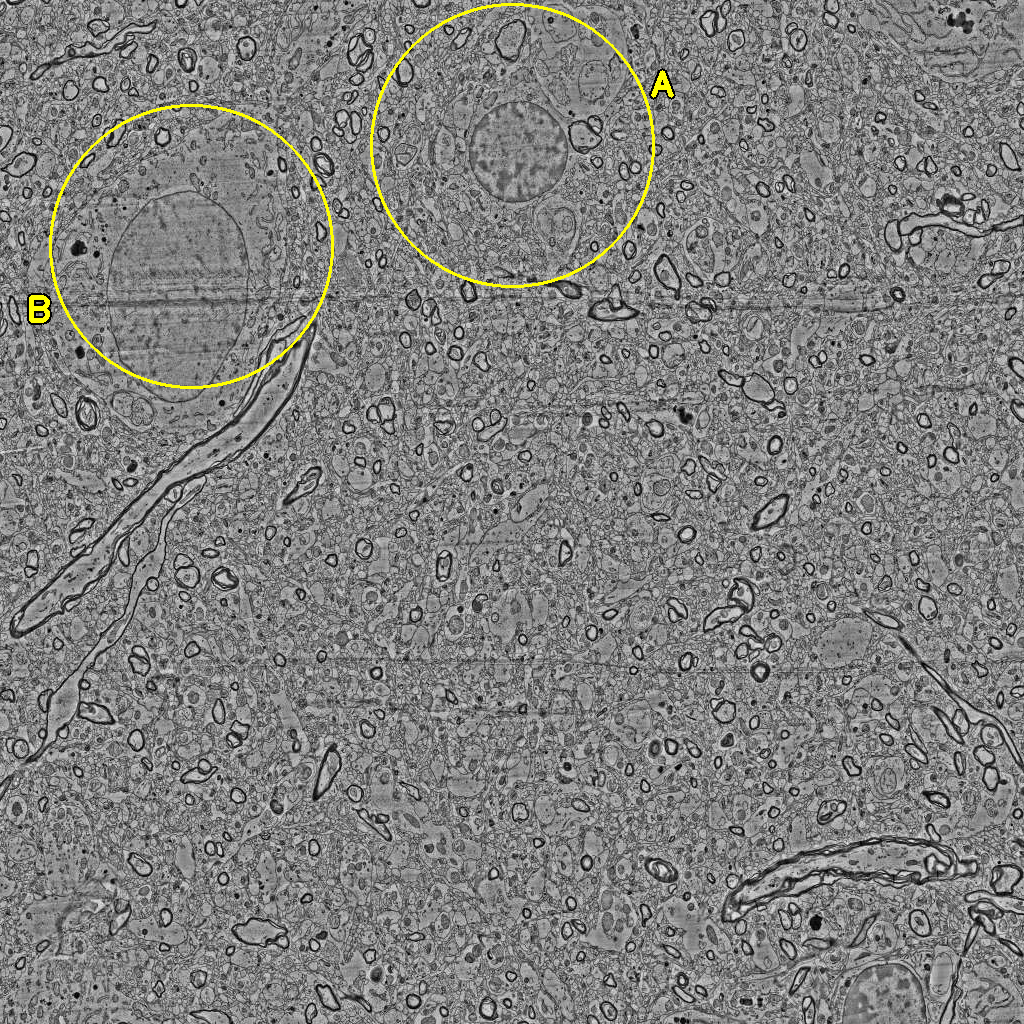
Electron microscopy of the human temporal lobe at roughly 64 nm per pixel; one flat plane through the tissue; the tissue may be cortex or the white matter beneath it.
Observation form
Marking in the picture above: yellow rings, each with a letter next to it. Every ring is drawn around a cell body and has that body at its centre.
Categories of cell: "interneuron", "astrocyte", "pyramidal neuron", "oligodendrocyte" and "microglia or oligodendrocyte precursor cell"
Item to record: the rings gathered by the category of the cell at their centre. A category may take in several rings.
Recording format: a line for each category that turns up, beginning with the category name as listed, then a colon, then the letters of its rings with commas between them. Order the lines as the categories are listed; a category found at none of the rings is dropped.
pyramidal neuron: B
oligodendrocyte: A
